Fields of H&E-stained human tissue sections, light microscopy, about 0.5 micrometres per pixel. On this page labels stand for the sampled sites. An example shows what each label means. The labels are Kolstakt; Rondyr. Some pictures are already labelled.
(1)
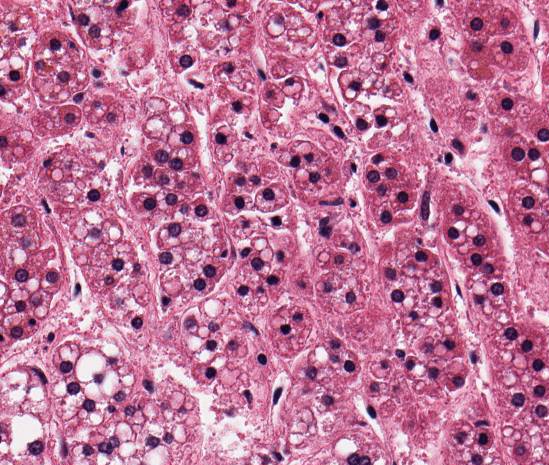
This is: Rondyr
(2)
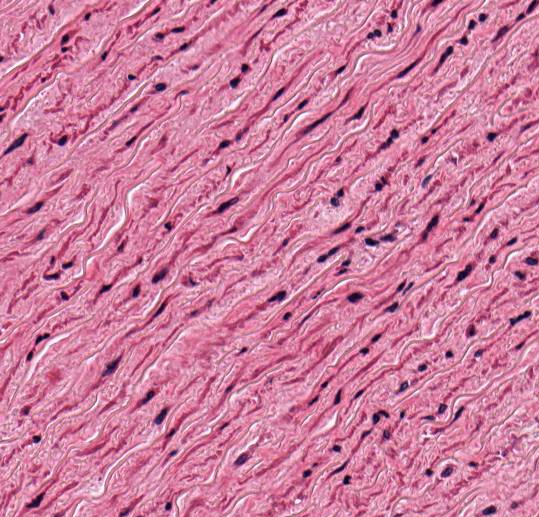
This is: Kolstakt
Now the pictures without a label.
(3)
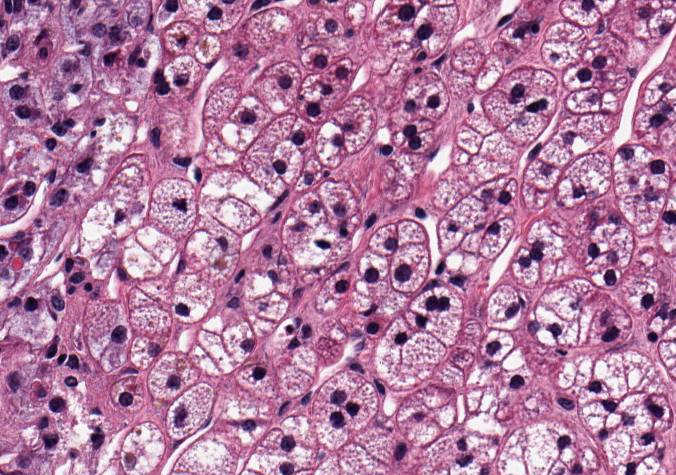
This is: Rondyr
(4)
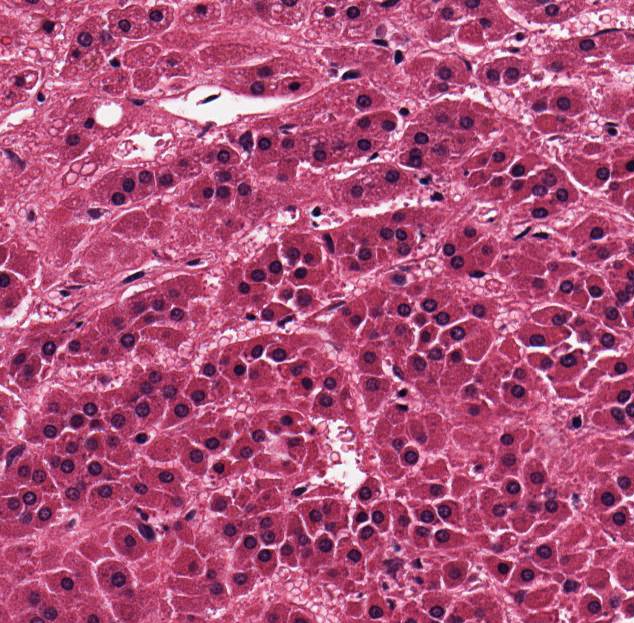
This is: Rondyr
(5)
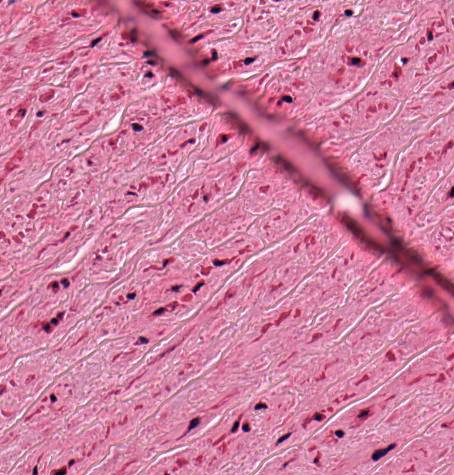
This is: Kolstakt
